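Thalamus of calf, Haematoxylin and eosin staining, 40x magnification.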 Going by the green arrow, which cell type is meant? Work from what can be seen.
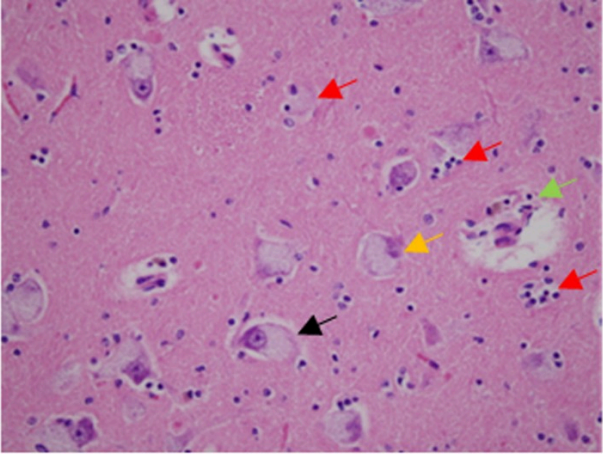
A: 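Macrophages. The space around them looks like a vessel's surrounding space.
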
